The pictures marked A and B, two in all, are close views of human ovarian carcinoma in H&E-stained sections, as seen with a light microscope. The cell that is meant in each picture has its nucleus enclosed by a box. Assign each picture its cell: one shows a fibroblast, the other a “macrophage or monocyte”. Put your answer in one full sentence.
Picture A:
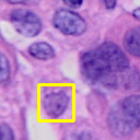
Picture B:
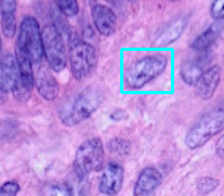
Picture A is of a “macrophage or monocyte”, and picture B is of a fibroblast.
